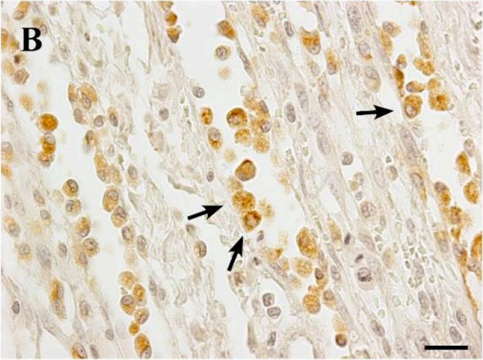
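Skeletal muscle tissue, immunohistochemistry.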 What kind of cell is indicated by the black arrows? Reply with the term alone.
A: Macrophages.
